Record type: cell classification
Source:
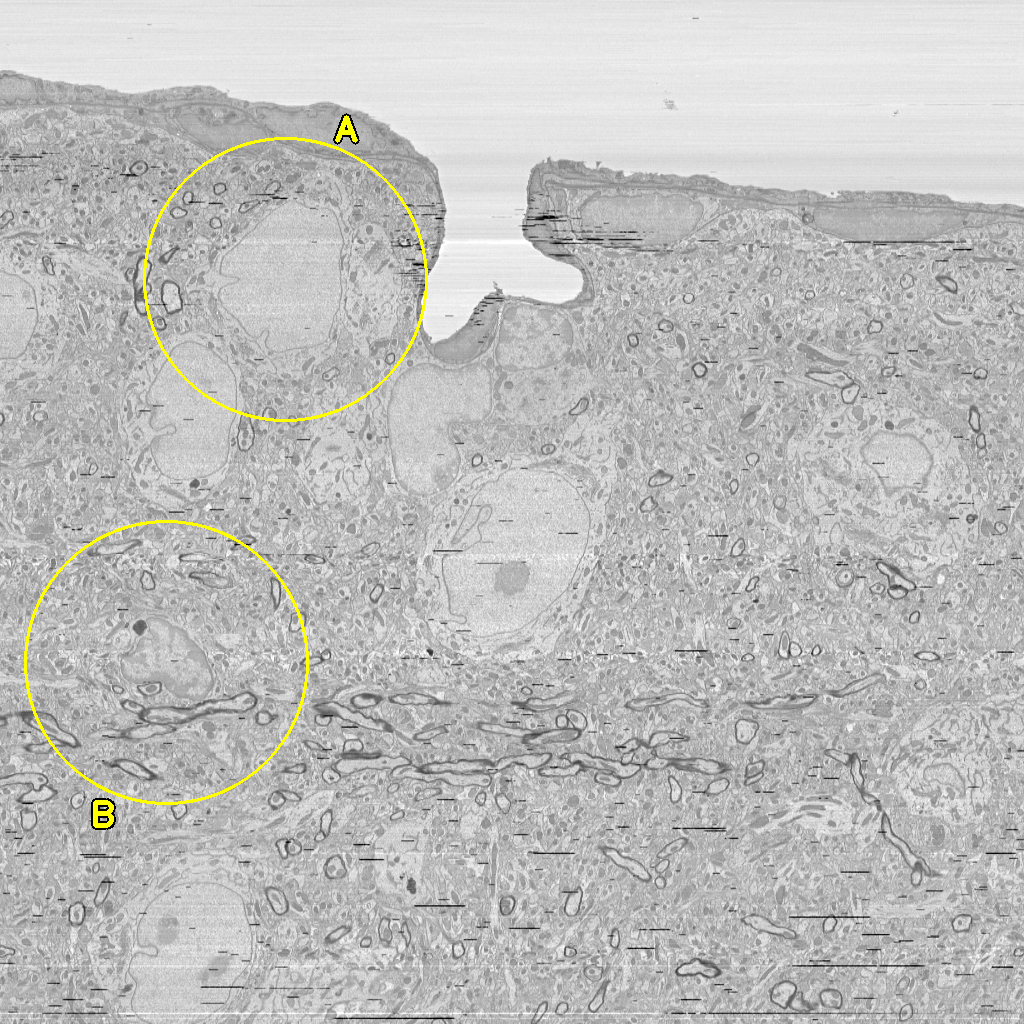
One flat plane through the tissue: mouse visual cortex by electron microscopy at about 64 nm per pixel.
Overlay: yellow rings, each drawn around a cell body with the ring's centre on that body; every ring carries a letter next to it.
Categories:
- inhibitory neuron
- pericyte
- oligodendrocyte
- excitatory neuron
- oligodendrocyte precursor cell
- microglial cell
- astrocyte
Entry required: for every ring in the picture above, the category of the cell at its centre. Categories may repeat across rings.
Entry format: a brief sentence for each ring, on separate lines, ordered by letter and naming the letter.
At the centre of ring A lies an excitatory neuron.
At the centre of ring B lies a microglial cell.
